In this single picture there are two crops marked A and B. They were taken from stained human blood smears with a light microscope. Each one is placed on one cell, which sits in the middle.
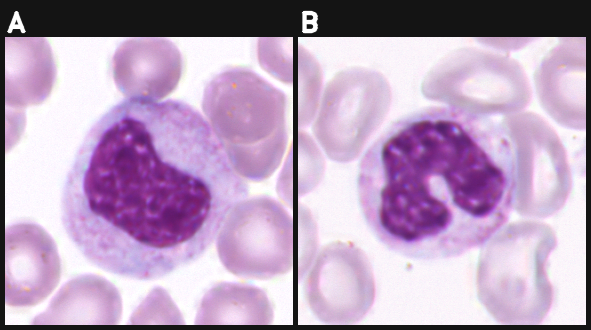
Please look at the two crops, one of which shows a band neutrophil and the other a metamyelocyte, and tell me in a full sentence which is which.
Crop A holds a metamyelocyte; a band neutrophil occupies crop B.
